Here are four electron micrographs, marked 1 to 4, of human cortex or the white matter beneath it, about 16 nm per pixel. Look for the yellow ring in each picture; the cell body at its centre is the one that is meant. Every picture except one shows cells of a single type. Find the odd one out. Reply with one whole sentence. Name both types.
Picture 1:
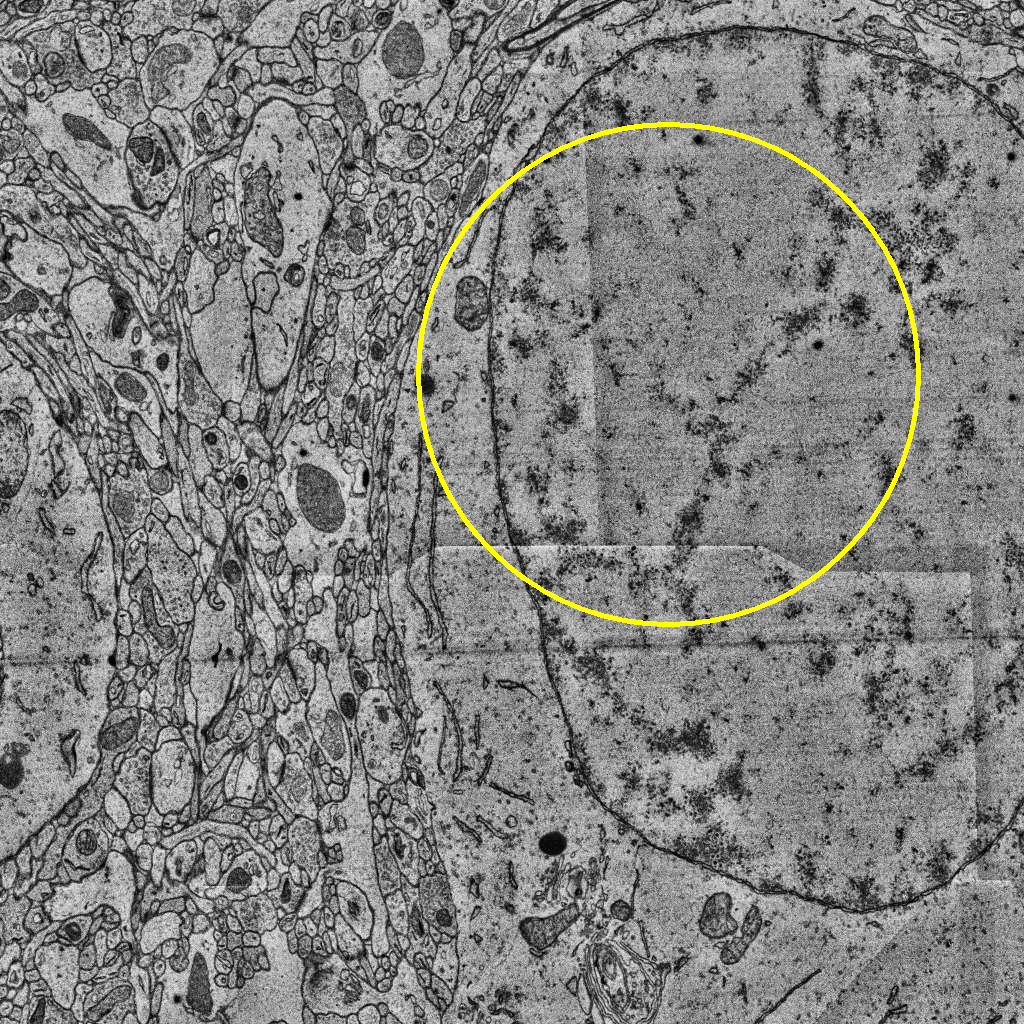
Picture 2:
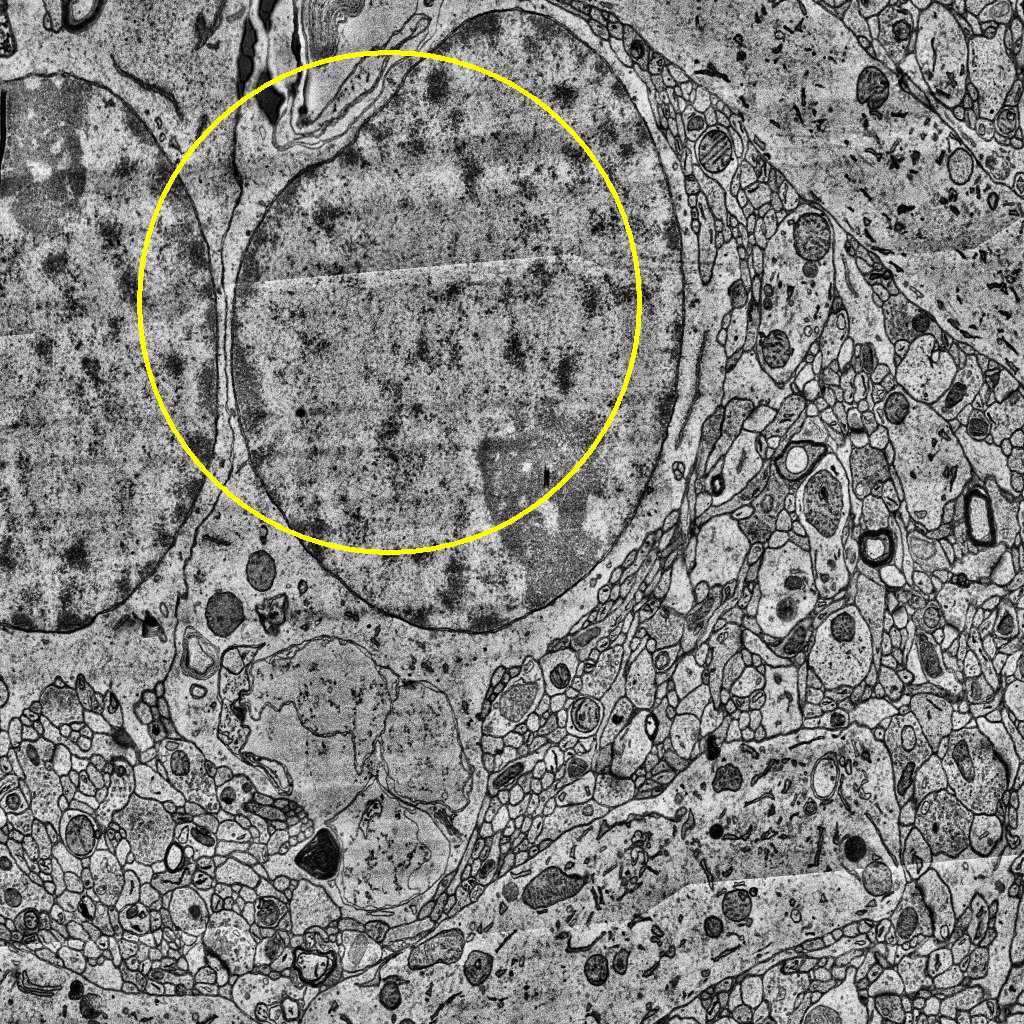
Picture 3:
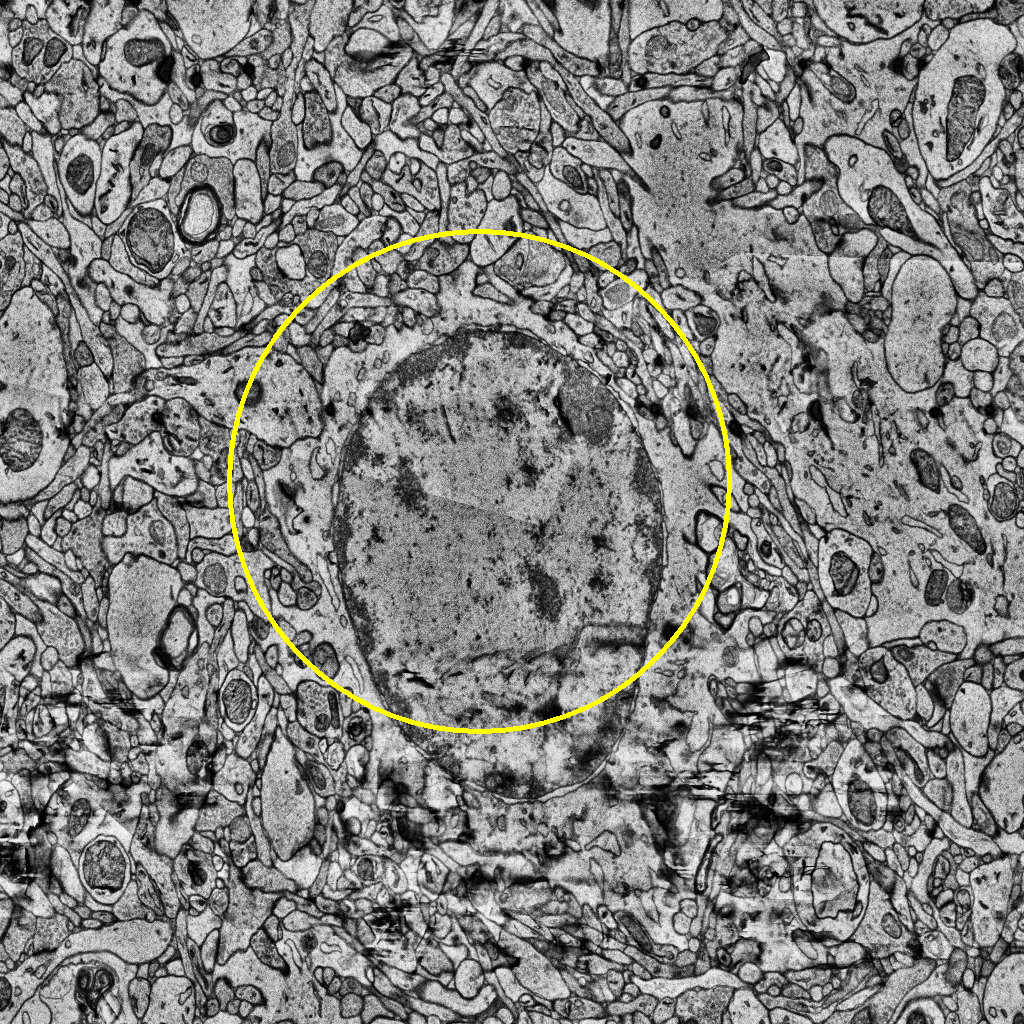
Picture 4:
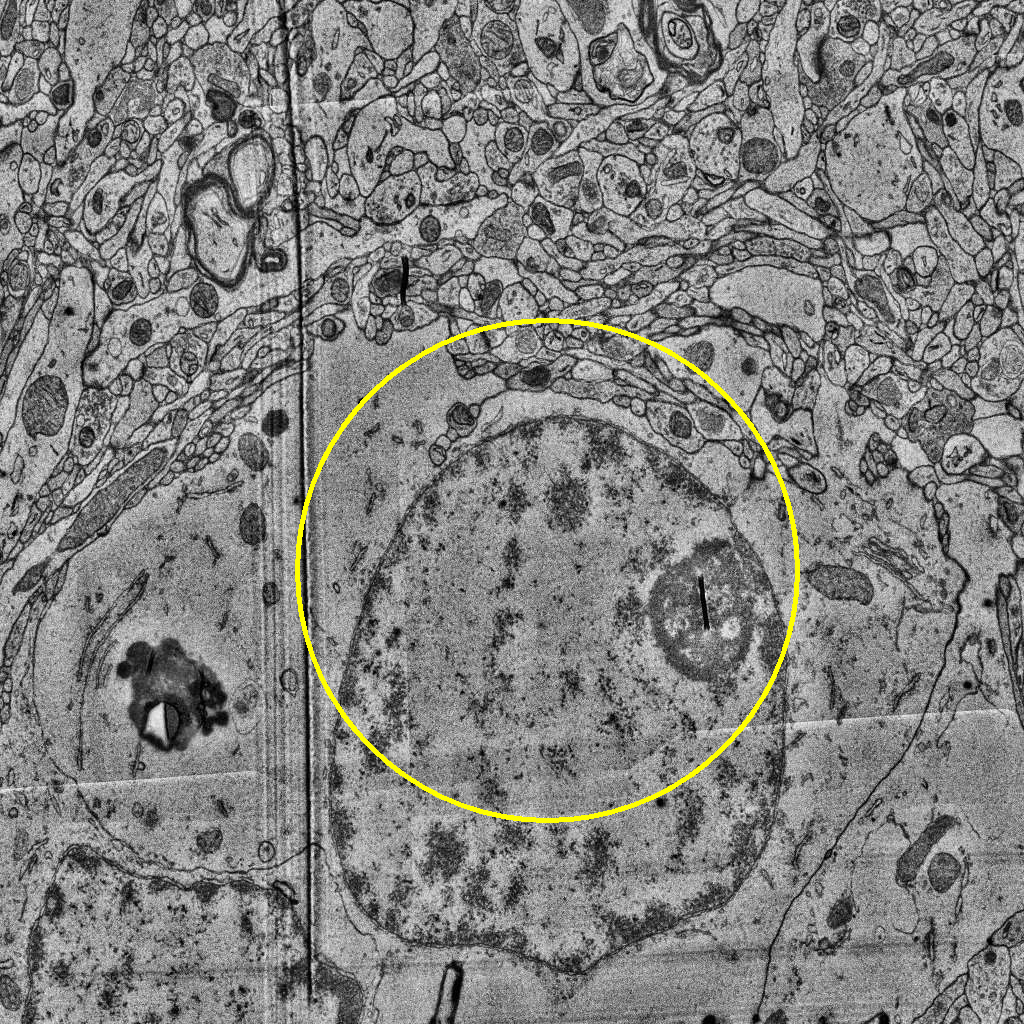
Picture 1 is the odd one out: it shows a pyramidal neuron, while the others show astrocytes.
